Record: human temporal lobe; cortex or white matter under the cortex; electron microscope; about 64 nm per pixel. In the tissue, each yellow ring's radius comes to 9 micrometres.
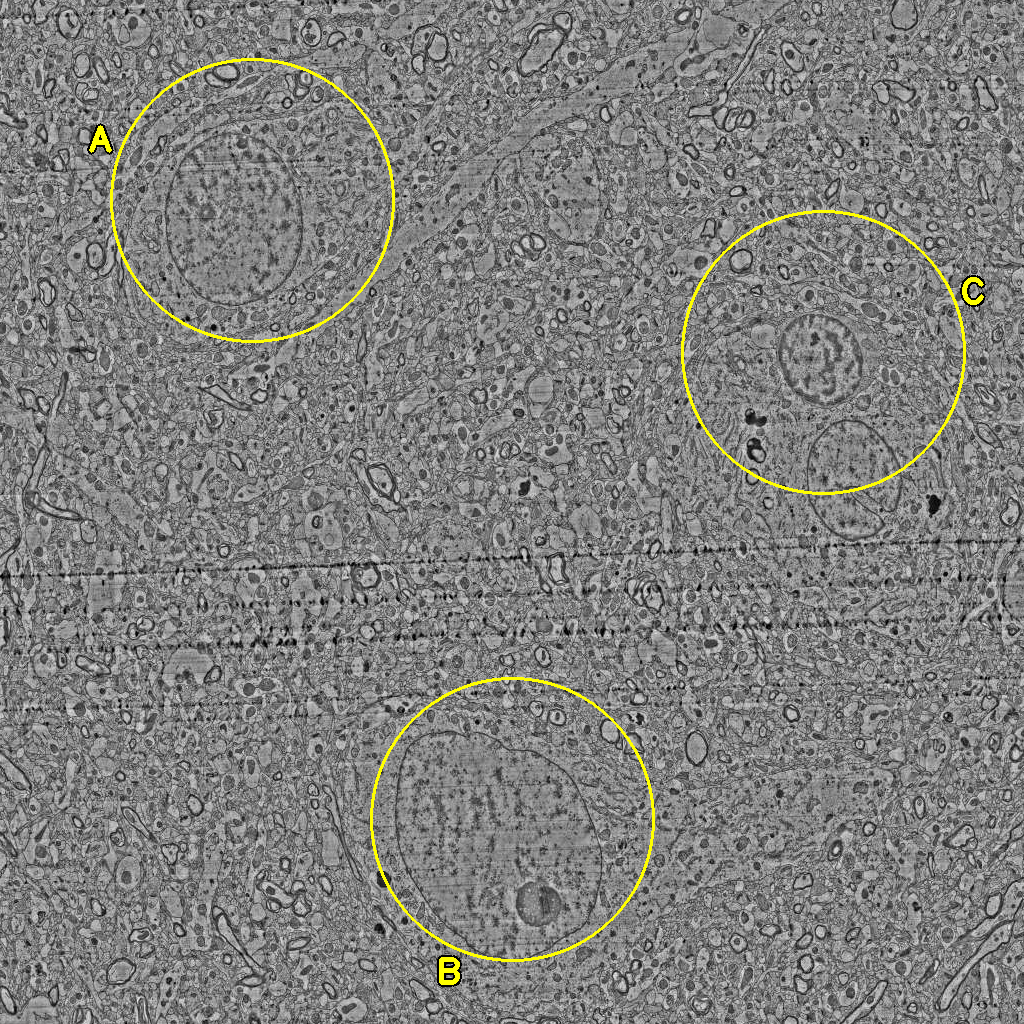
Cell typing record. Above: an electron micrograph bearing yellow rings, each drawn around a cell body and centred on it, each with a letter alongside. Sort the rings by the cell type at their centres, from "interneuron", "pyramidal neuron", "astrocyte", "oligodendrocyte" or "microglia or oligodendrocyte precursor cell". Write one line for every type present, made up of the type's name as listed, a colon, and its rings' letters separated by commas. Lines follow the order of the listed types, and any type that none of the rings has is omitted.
interneuron: A
pyramidal neuron: B
oligodendrocyte: C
